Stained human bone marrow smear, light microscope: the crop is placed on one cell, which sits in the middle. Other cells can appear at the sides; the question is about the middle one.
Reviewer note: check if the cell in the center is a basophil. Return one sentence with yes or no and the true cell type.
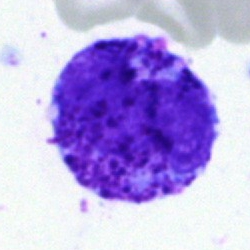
Yes, centred in the crop is a basophil.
